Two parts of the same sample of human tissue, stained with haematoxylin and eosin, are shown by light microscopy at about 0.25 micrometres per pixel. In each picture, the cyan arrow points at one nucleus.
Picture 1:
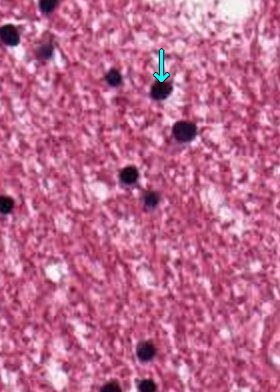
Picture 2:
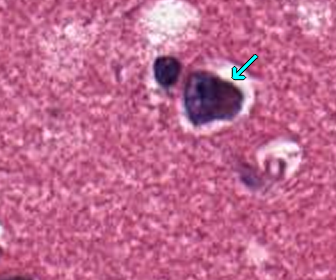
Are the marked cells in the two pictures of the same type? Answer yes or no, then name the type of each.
No, the first is an oligodendrocyte and the second a neuron.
